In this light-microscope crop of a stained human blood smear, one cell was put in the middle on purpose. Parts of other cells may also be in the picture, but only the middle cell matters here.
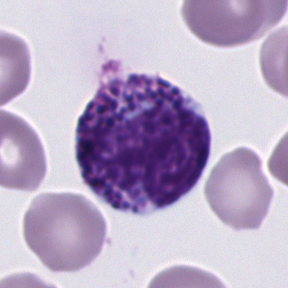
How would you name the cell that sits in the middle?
basophil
